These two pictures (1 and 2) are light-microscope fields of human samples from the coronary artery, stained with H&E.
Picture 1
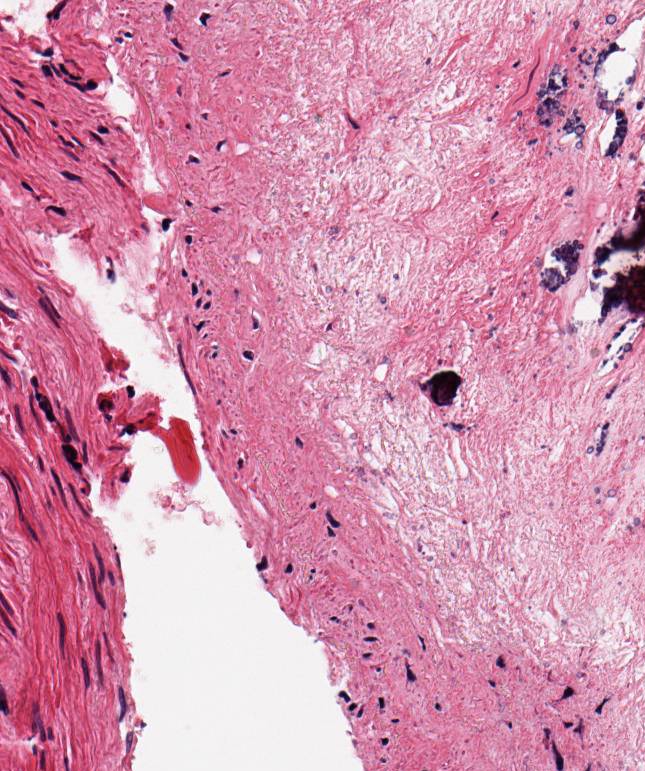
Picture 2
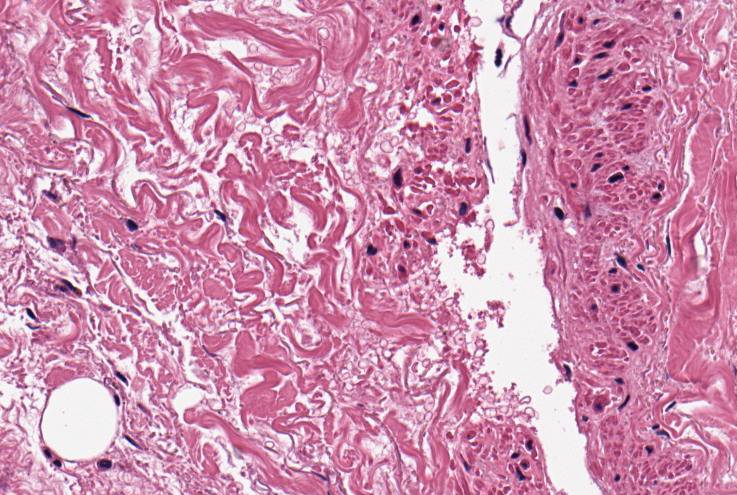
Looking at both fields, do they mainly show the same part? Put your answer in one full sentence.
No, picture 1 mainly shows the tunica intima and picture 2 mainly shows the tunica adventitia.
